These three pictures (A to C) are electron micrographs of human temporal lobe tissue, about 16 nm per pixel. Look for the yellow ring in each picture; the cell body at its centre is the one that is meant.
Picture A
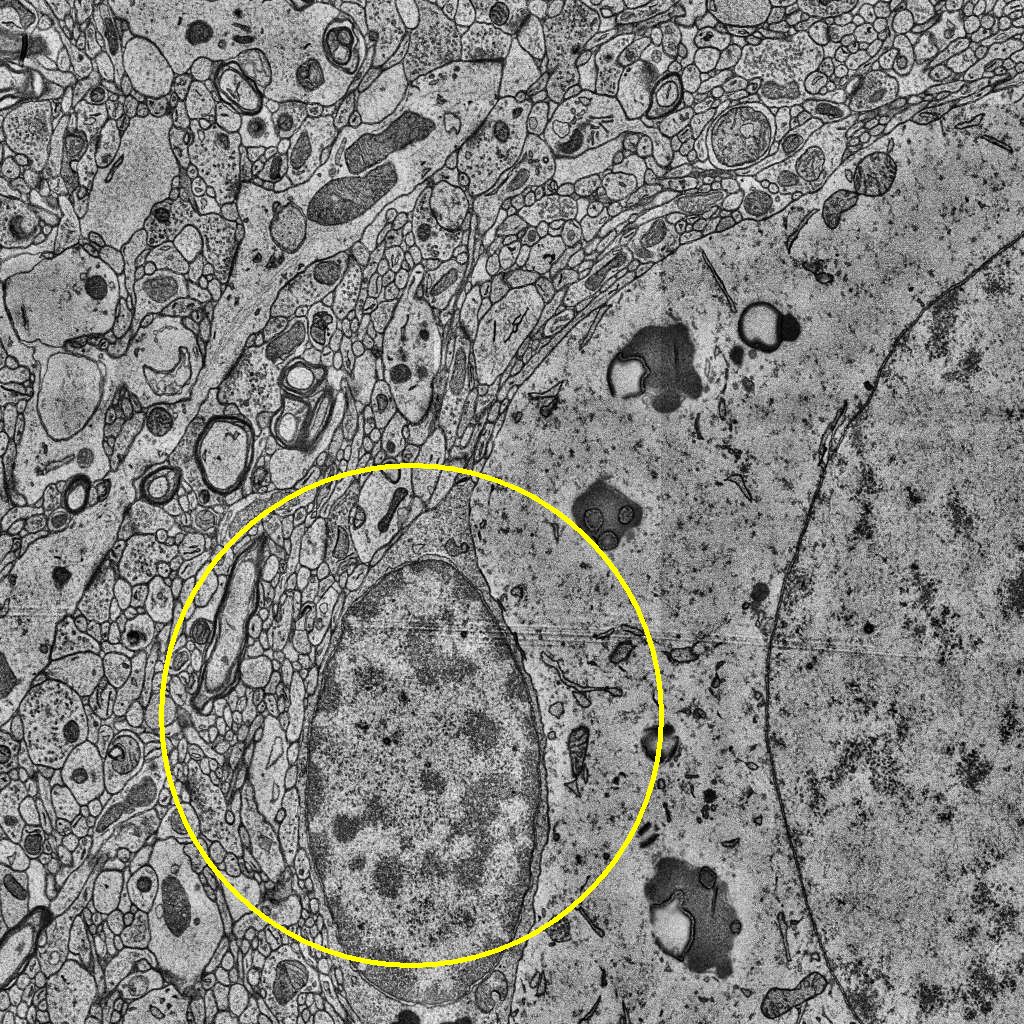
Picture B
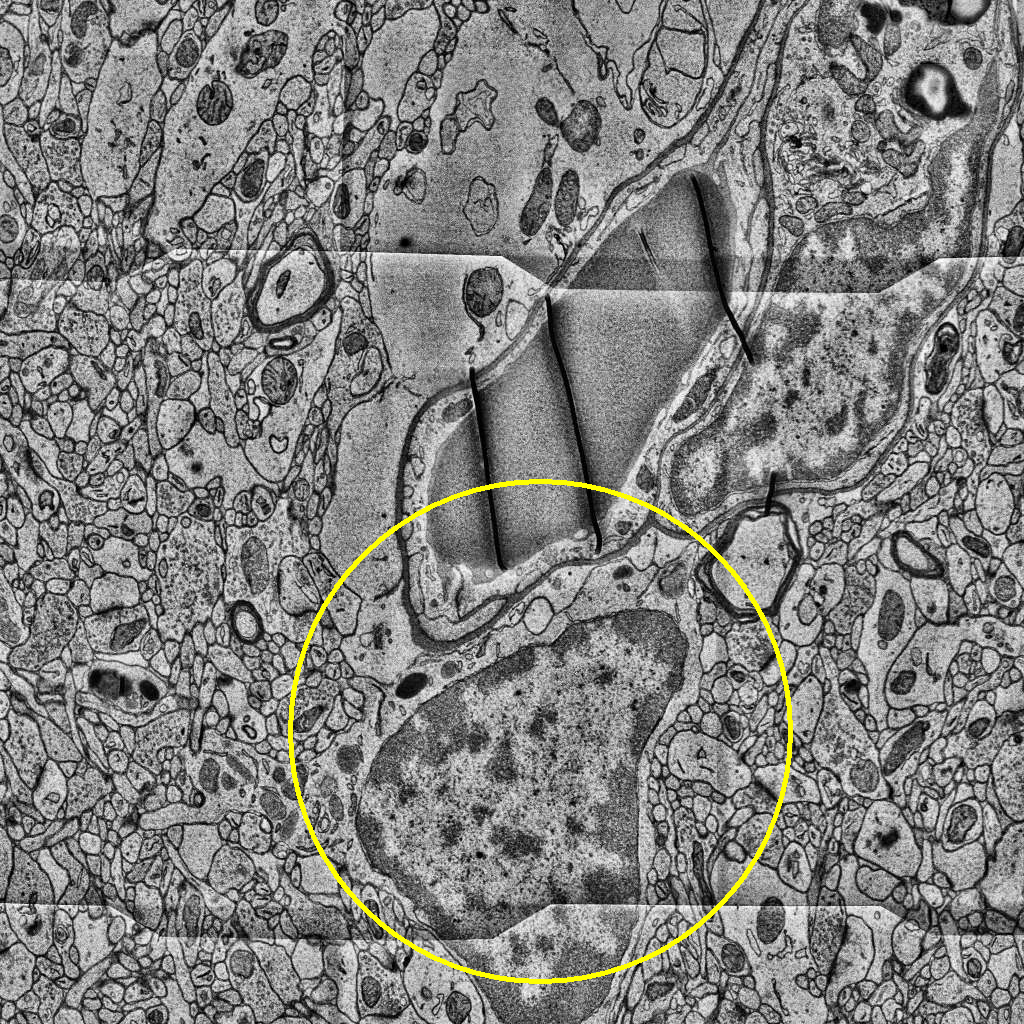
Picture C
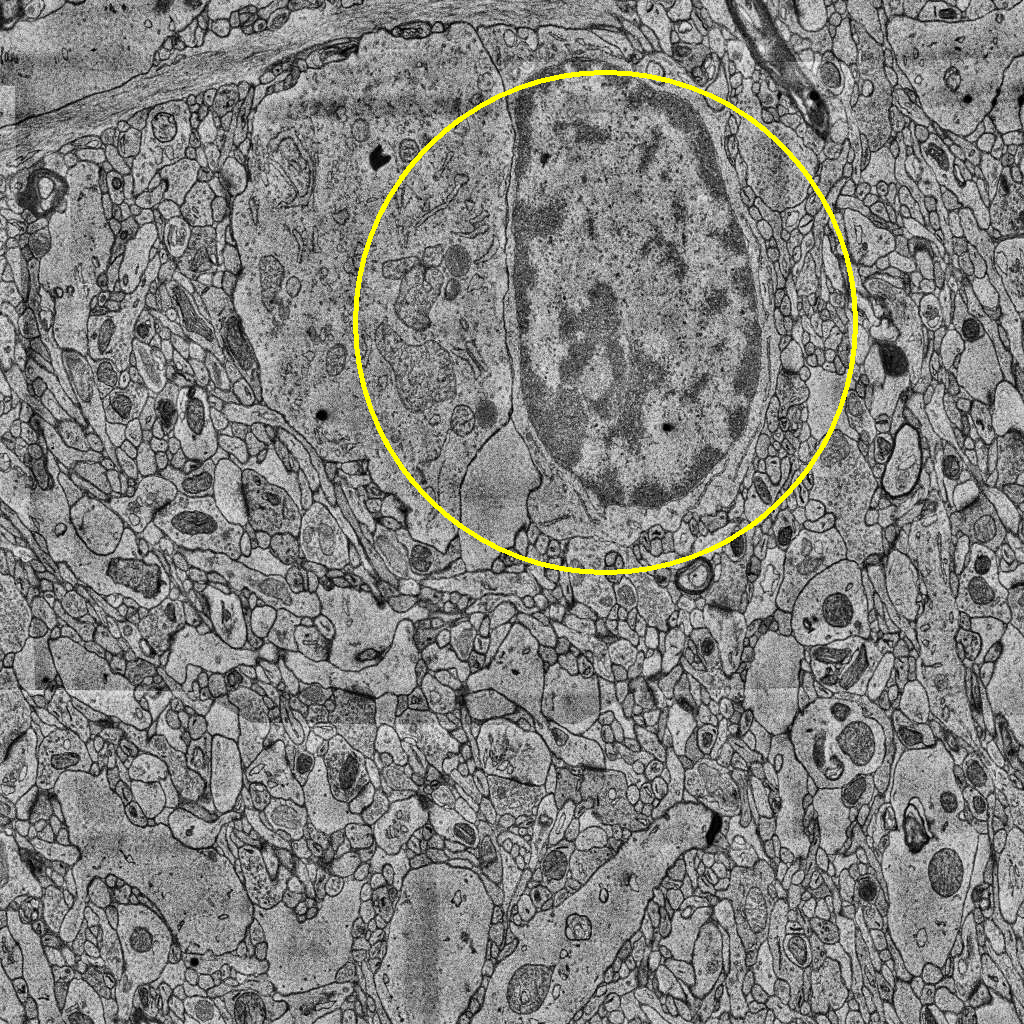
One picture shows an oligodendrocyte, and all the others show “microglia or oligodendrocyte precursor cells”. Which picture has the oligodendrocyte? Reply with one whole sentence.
Picture A is the one that shows the oligodendrocyte.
